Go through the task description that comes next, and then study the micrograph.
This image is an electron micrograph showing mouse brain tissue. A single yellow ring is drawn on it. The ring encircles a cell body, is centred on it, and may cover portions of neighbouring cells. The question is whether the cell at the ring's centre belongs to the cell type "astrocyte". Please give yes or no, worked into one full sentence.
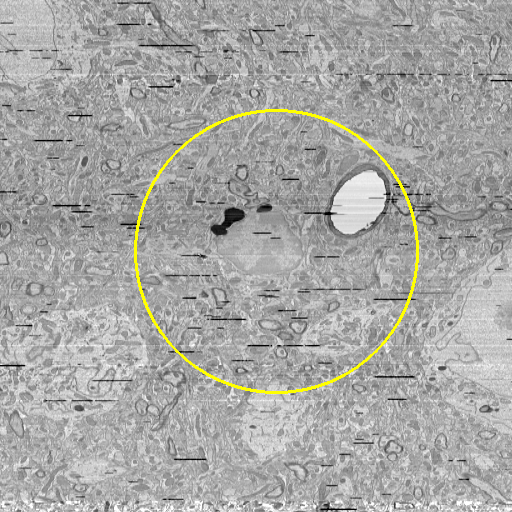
No, the cell that the ring is centred on in the micrograph is of another kind.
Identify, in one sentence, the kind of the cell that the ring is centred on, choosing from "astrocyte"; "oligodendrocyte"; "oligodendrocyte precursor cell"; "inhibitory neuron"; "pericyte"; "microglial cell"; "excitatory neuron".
The cell at the ring centre is a microglial cell.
